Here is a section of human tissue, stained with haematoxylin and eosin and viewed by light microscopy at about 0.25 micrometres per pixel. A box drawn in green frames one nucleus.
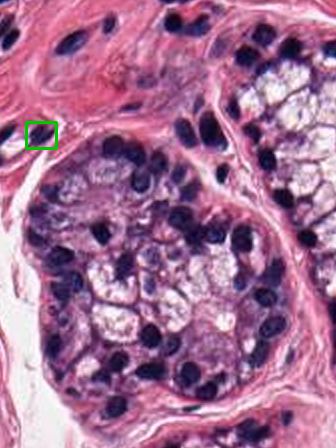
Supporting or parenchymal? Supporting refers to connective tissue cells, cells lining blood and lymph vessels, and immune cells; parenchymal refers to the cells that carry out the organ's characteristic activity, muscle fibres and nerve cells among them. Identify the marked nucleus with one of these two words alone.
supporting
